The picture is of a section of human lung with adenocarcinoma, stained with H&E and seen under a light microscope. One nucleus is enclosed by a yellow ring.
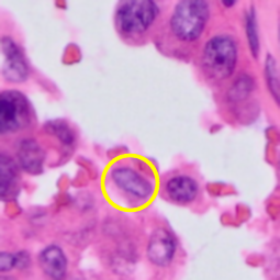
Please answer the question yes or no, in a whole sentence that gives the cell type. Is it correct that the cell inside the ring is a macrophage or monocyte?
Yes, the cell inside the ring is recognized as a macrophage or monocyte in this section.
